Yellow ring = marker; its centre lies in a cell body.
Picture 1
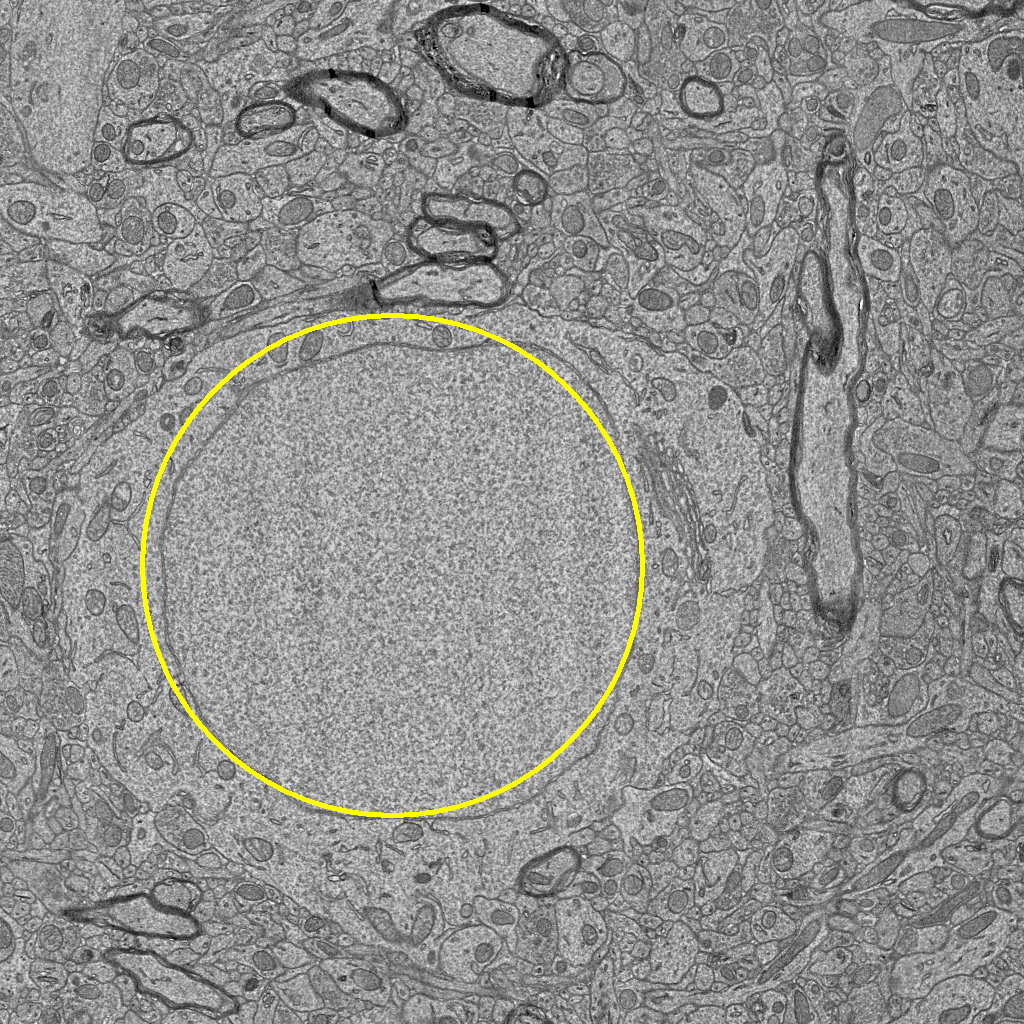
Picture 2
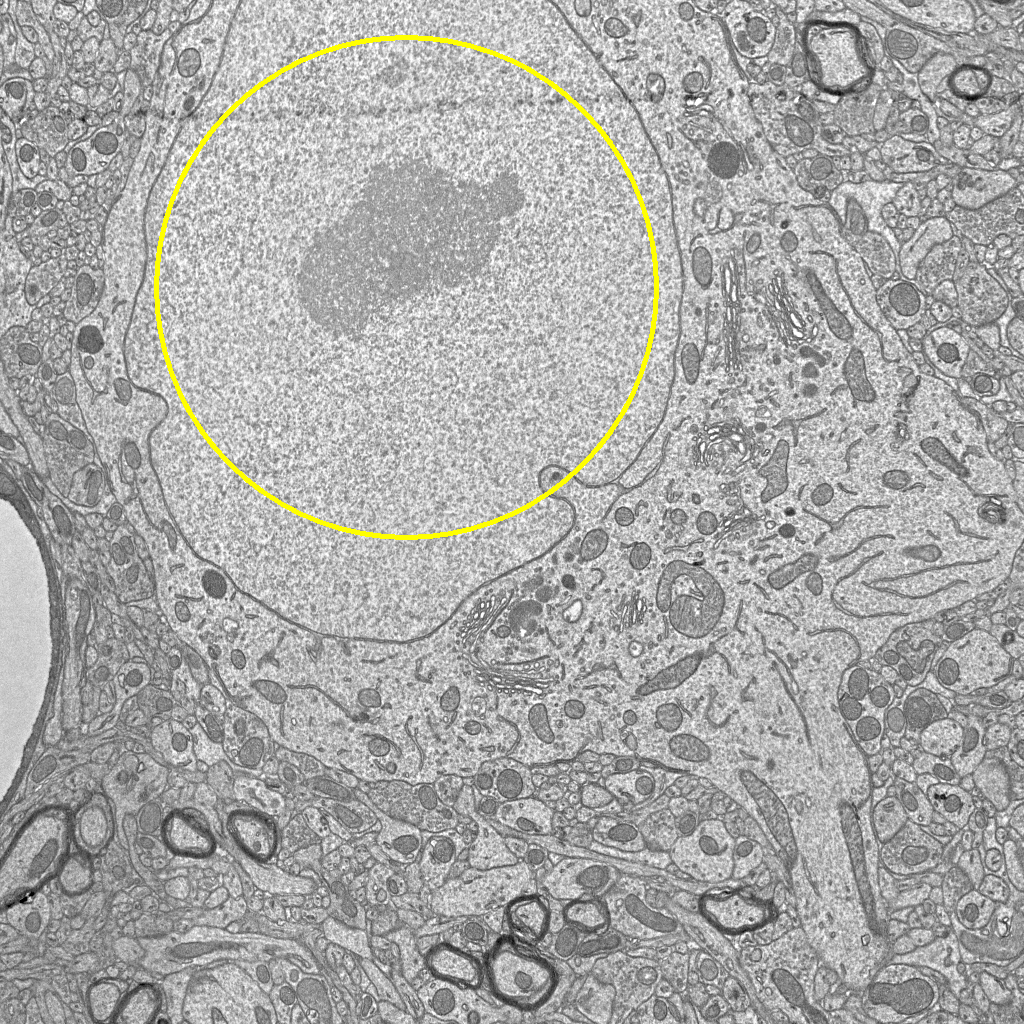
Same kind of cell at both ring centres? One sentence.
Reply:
Yes, they are the same kind of cell.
